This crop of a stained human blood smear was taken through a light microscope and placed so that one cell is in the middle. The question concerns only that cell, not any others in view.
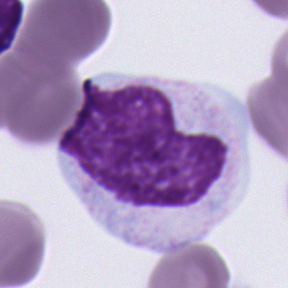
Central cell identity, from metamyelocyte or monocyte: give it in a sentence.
The cell at the middle of the crop is recognized as a metamyelocyte.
